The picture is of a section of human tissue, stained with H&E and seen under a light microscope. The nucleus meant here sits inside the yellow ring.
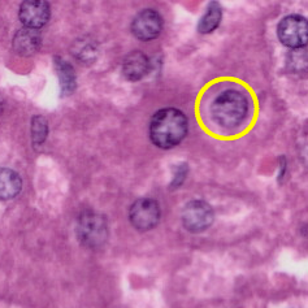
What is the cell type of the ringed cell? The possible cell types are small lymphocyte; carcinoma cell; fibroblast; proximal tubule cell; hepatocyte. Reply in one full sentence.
As far as its identity is concerned, the ringed cell is a hepatocyte.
